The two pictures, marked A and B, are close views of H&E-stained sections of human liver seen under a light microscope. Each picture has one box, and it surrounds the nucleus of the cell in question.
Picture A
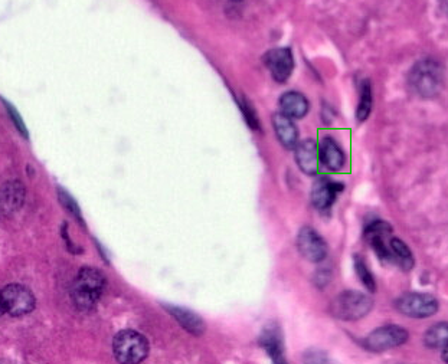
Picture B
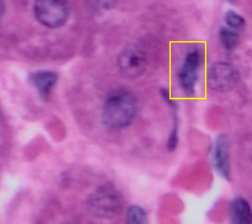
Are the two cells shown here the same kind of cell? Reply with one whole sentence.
No, the types are not the same, since picture A shows a cholangiocyte and picture B a “fibroblast or stellate cell”.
